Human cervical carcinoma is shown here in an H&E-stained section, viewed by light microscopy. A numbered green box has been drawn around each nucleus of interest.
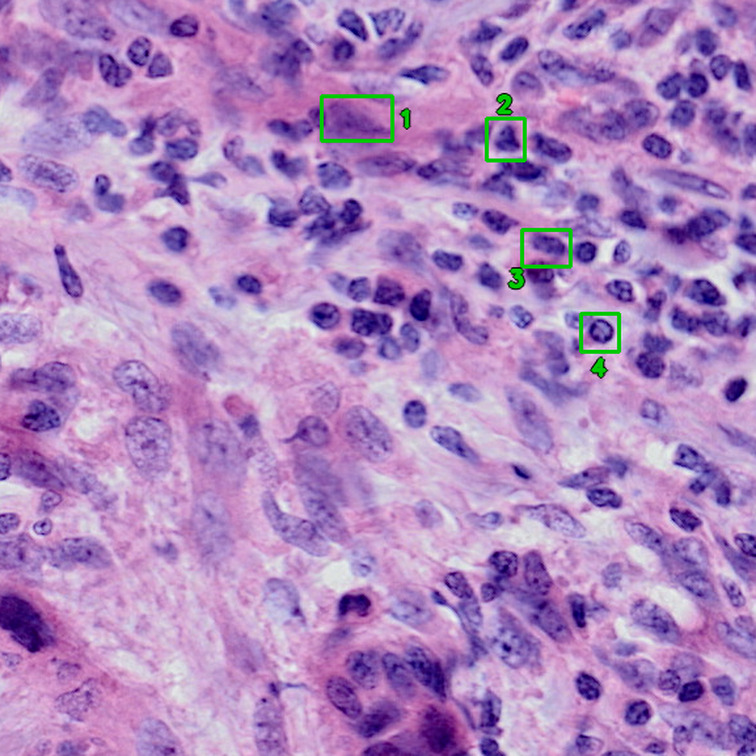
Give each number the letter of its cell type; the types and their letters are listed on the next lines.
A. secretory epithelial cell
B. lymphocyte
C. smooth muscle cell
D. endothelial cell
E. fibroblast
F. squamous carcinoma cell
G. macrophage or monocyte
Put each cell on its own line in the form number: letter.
1: D
2: B
3: B
4: B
